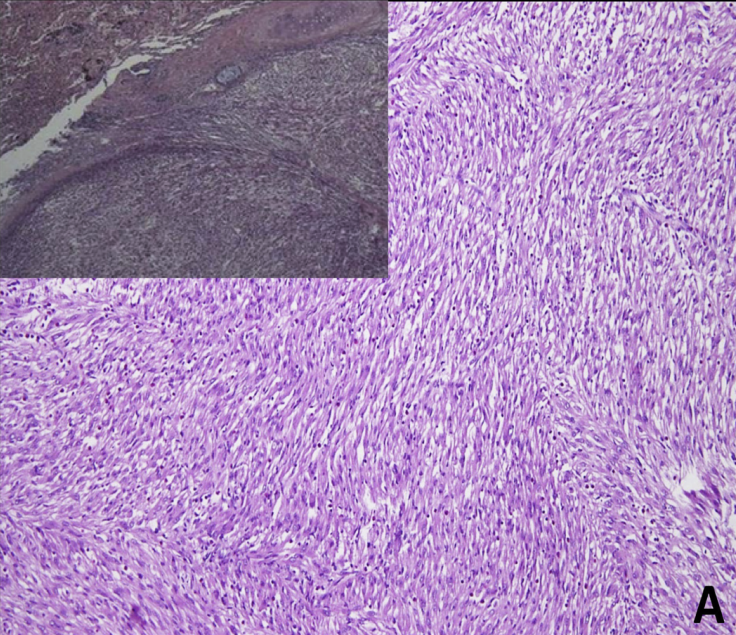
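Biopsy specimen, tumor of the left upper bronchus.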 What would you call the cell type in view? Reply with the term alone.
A: Spindle cells.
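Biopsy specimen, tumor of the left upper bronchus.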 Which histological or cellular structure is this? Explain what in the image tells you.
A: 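Fascicles. Elongated cells run together in bundles. Neighbouring bundles run in different directions.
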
